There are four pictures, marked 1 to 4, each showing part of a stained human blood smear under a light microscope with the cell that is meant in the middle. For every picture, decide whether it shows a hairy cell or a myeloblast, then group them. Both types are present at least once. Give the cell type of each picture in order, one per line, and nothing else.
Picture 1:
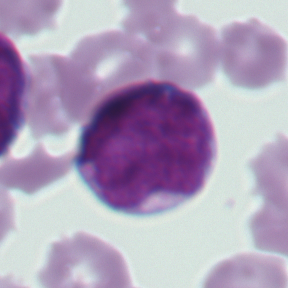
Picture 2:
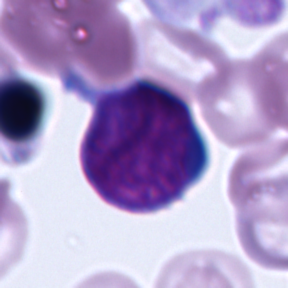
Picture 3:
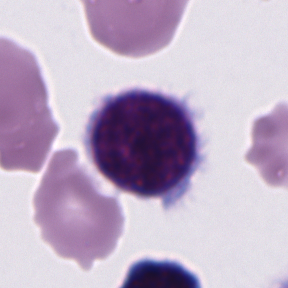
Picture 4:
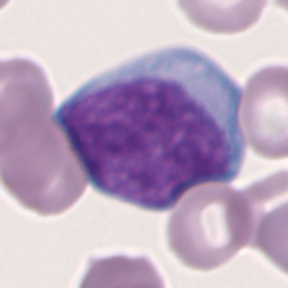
myeloblast
myeloblast
hairy cell
myeloblast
